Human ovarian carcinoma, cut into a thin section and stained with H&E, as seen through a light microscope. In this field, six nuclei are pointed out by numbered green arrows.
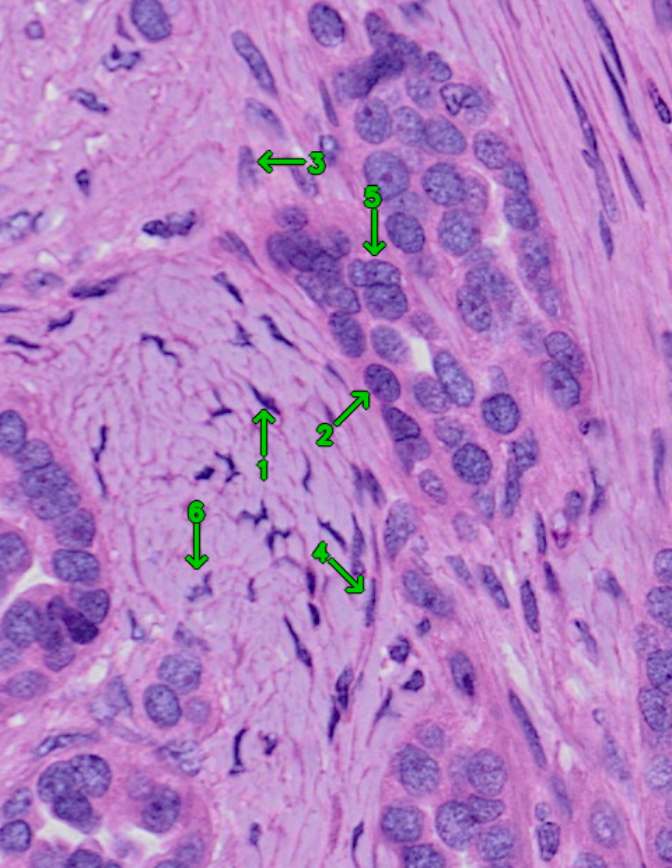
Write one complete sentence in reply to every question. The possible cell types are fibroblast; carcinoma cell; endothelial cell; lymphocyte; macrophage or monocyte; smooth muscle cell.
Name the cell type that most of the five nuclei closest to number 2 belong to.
Of the five nuclei nearest to number 2, most belong to carcinoma cells.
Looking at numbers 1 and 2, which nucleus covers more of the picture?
Of the two, number 2 is bigger and takes up about 3 times the area of number 1.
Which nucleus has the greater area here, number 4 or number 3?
It is nucleus 3, which covers about 1.5 times the area of nucleus 4.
